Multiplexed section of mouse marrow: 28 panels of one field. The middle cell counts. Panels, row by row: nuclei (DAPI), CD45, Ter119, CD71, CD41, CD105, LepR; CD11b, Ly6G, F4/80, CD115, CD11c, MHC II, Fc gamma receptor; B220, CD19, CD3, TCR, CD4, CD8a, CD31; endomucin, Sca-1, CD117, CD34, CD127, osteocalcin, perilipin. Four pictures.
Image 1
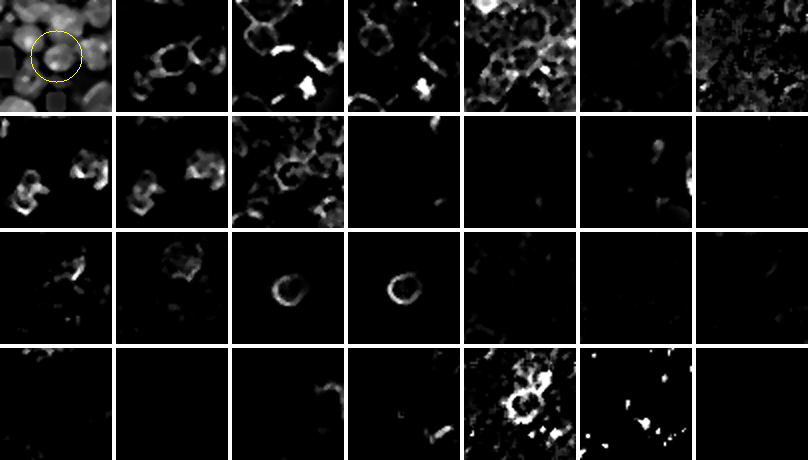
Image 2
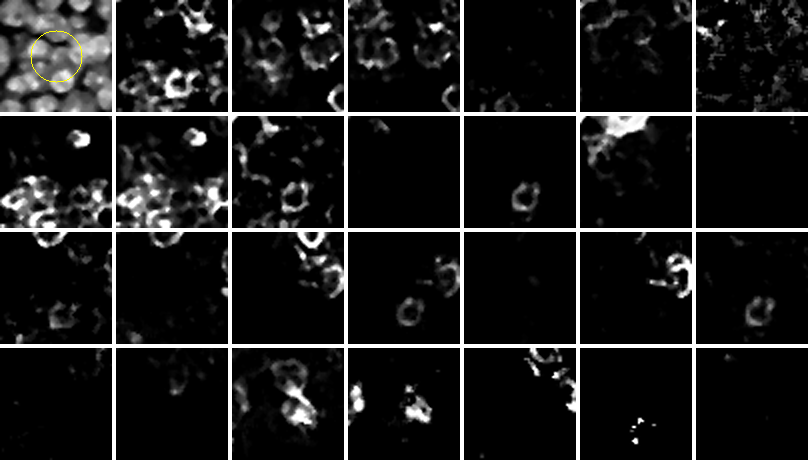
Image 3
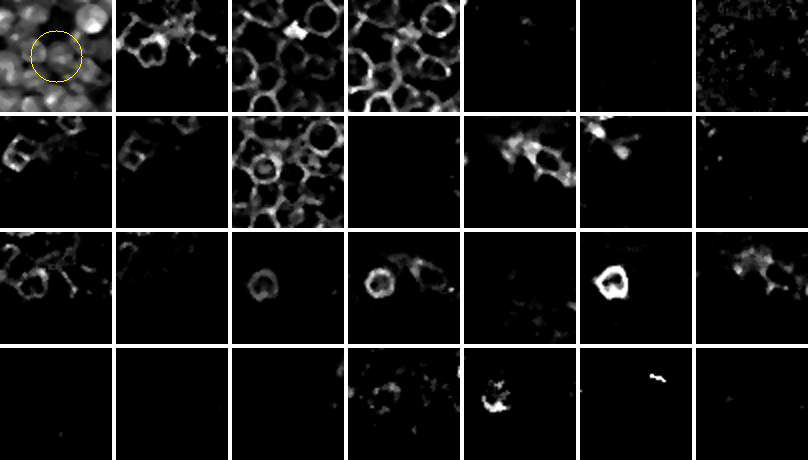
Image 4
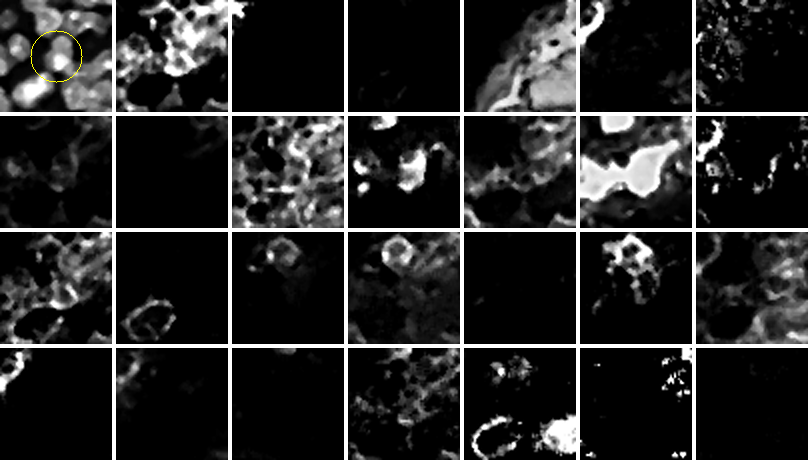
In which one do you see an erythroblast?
In picture 3.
